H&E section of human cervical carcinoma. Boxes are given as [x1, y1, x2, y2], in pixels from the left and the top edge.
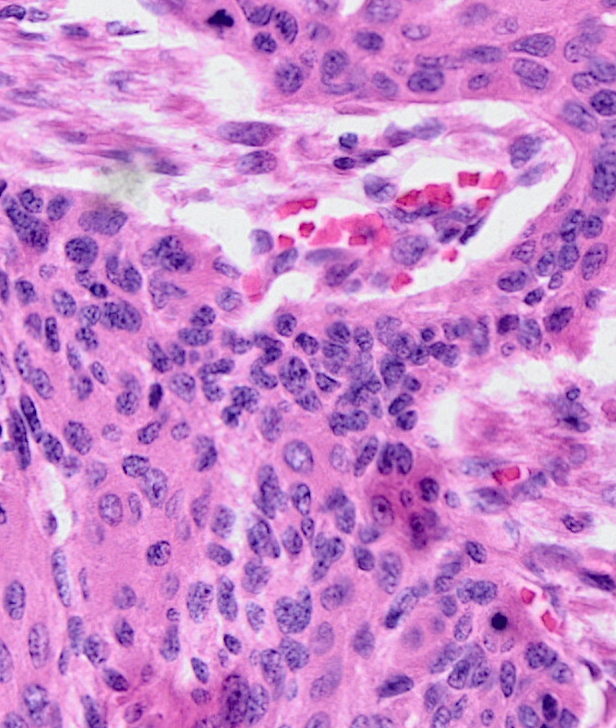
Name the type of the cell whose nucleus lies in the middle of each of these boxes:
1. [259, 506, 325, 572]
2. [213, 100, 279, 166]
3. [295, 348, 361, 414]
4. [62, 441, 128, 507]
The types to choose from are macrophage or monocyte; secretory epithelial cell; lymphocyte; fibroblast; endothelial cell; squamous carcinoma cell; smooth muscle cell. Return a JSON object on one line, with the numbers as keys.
{"1": "squamous carcinoma cell", "2": "fibroblast", "3": "squamous carcinoma cell", "4": "squamous carcinoma cell"}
